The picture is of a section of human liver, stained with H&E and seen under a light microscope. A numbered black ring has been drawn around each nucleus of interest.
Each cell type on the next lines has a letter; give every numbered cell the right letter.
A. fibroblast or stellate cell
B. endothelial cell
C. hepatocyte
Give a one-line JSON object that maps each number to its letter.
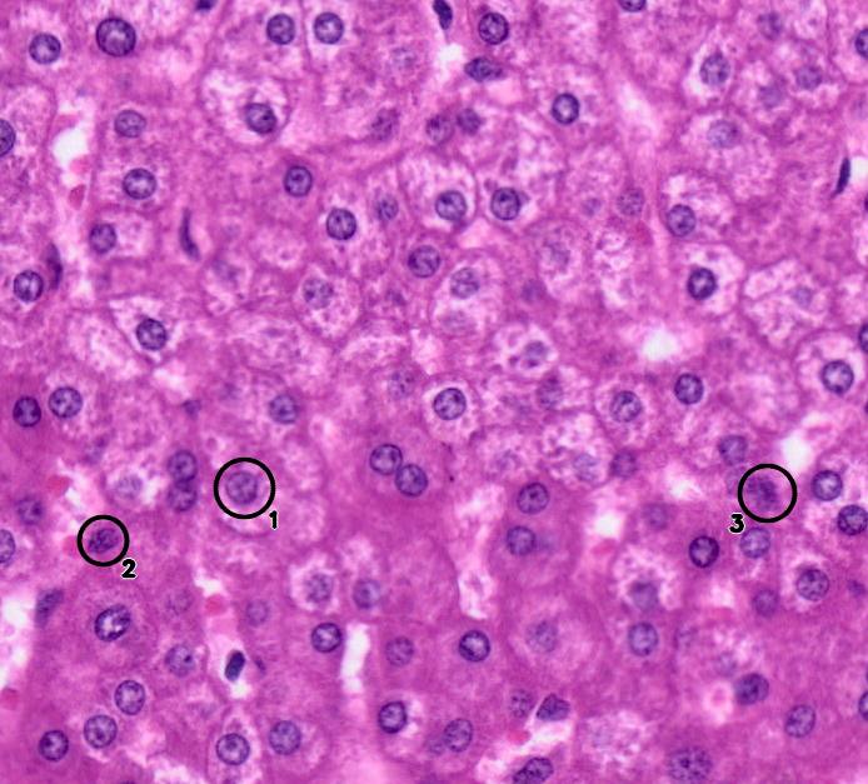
{"1": "C", "2": "A", "3": "B"}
